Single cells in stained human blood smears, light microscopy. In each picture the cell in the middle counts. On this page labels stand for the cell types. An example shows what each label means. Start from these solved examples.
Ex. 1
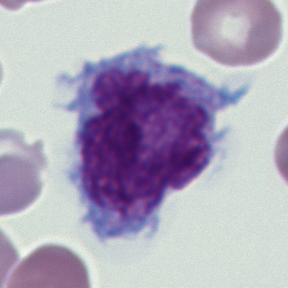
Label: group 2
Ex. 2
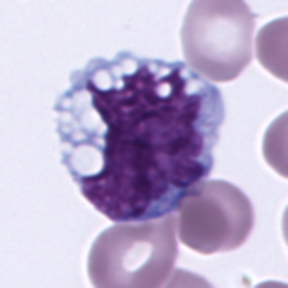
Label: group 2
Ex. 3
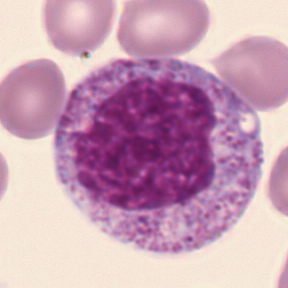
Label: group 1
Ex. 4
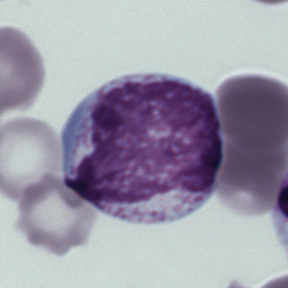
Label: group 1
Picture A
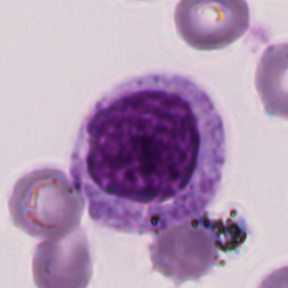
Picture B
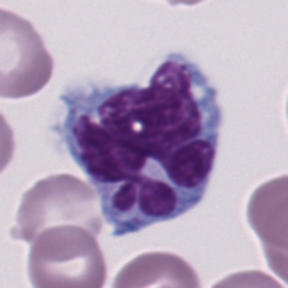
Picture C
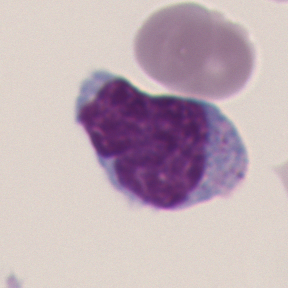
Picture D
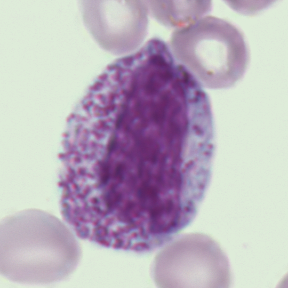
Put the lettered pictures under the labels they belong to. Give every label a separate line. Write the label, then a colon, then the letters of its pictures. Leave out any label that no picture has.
group 2: B, C
group 1: A, D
